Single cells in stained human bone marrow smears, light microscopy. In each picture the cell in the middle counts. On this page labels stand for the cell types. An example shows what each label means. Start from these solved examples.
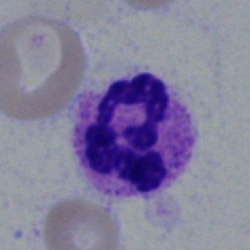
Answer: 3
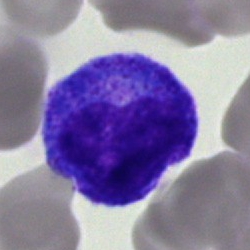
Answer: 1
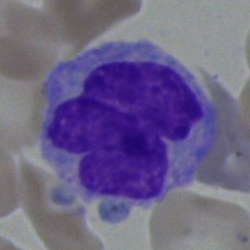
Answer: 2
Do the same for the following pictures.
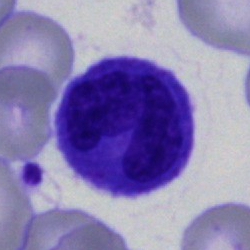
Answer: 2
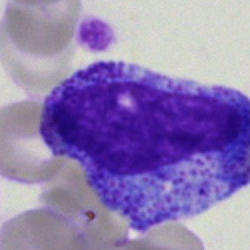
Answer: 1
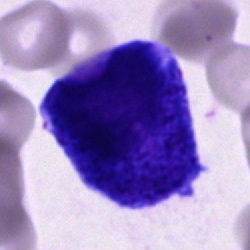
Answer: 1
